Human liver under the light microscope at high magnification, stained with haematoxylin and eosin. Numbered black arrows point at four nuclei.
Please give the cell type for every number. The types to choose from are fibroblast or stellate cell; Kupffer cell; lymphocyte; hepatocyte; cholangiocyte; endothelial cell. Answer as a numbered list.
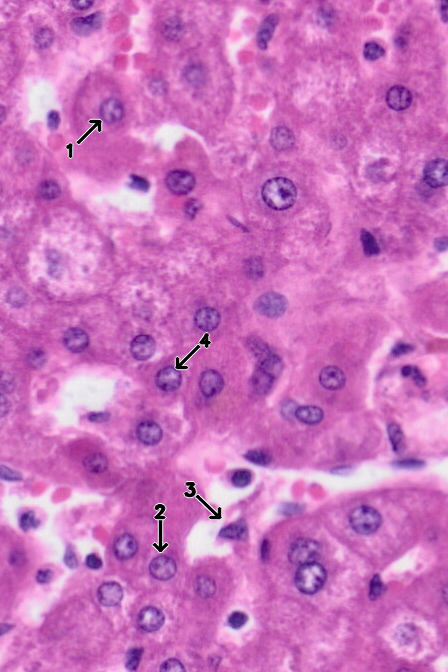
1. hepatocyte
2. hepatocyte
3. Kupffer cell
4. hepatocyte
